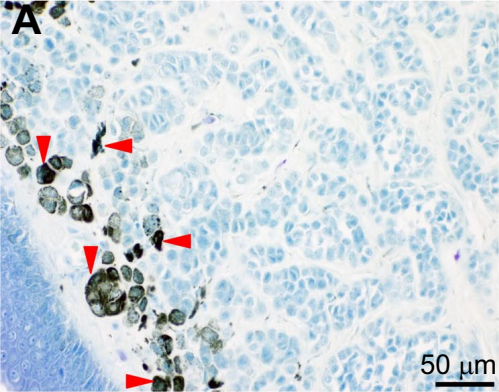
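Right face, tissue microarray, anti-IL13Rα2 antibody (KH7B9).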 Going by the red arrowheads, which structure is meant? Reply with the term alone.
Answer: Melanin pigment.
